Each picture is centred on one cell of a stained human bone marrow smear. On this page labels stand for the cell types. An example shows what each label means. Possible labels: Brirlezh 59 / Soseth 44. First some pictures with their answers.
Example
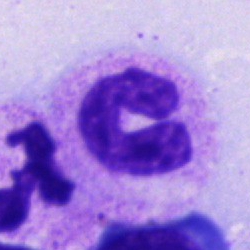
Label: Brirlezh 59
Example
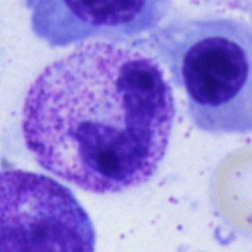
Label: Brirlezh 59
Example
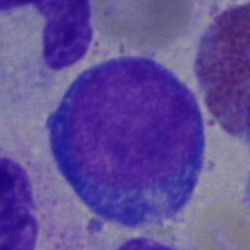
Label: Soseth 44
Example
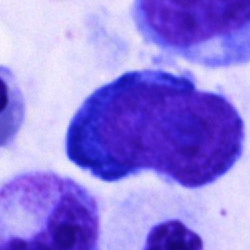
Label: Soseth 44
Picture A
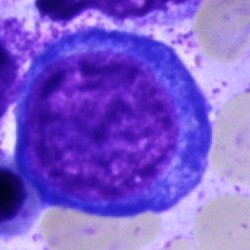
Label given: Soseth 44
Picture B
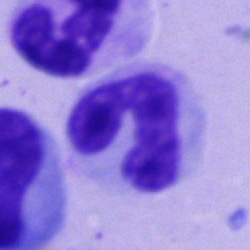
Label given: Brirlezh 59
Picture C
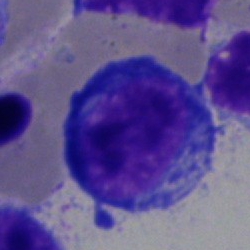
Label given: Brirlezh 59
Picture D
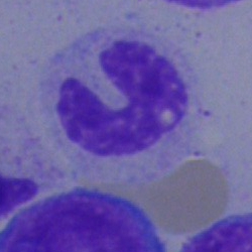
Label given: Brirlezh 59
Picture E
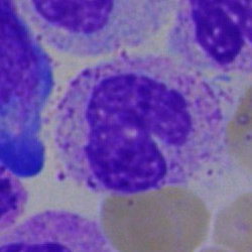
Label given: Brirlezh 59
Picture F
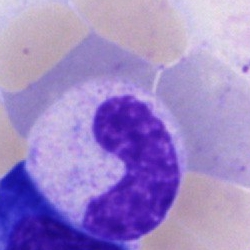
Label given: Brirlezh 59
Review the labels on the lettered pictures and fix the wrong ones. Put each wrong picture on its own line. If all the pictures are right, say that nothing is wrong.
C: not Brirlezh 59 but Soseth 44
